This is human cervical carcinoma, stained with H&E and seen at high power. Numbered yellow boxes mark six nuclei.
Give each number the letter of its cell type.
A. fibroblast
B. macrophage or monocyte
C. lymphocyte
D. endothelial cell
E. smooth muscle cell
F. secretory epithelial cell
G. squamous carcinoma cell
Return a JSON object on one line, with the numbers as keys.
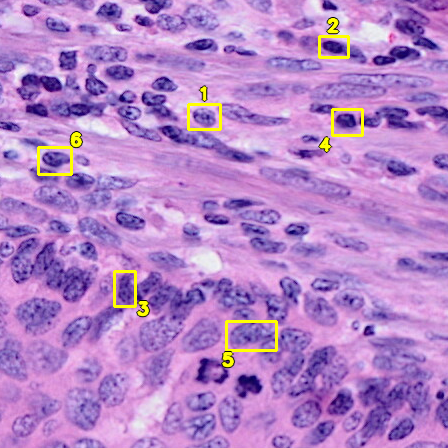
{"1": "C", "2": "C", "3": "G", "4": "C", "5": "G", "6": "C"}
